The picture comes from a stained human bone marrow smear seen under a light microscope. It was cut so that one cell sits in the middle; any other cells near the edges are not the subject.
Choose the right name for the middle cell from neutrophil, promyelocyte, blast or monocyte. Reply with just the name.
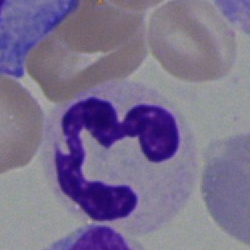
neutrophil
